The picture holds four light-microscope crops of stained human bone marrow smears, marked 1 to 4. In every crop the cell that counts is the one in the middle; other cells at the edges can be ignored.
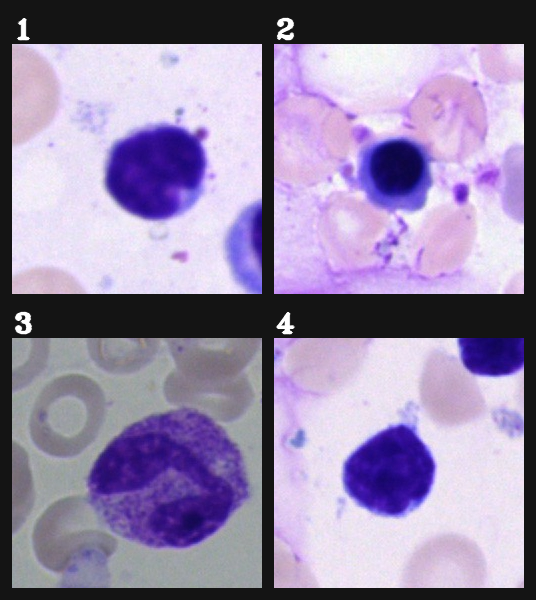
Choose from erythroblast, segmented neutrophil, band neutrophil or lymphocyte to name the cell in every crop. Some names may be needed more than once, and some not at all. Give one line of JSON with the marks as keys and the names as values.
{"1": "lymphocyte", "2": "erythroblast", "3": "segmented neutrophil", "4": "lymphocyte"}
